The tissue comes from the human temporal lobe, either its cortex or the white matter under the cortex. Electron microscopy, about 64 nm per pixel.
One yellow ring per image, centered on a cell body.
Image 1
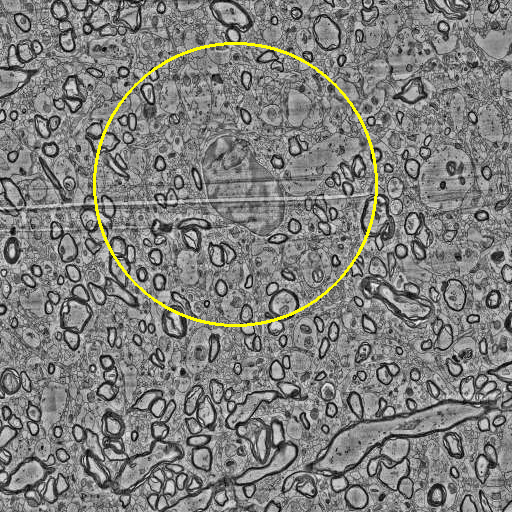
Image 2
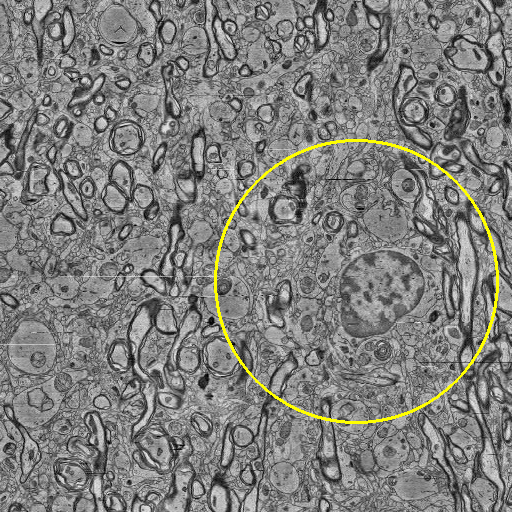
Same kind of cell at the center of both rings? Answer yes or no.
yes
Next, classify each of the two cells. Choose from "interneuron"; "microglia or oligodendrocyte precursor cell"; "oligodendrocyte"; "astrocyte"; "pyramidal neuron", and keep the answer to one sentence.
The ring centre holds a microglial cell or oligodendrocyte precursor cell in each of the two pictures.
